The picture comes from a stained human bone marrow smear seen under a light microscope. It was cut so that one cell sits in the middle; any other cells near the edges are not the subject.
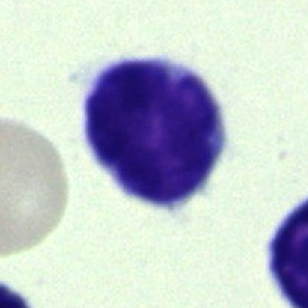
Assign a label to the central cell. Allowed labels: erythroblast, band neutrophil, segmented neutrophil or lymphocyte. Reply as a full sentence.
At the center of the crop sits a lymphocyte.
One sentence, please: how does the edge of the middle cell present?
Irregular rather than smooth, the cell margin shows ragged areas or projections.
